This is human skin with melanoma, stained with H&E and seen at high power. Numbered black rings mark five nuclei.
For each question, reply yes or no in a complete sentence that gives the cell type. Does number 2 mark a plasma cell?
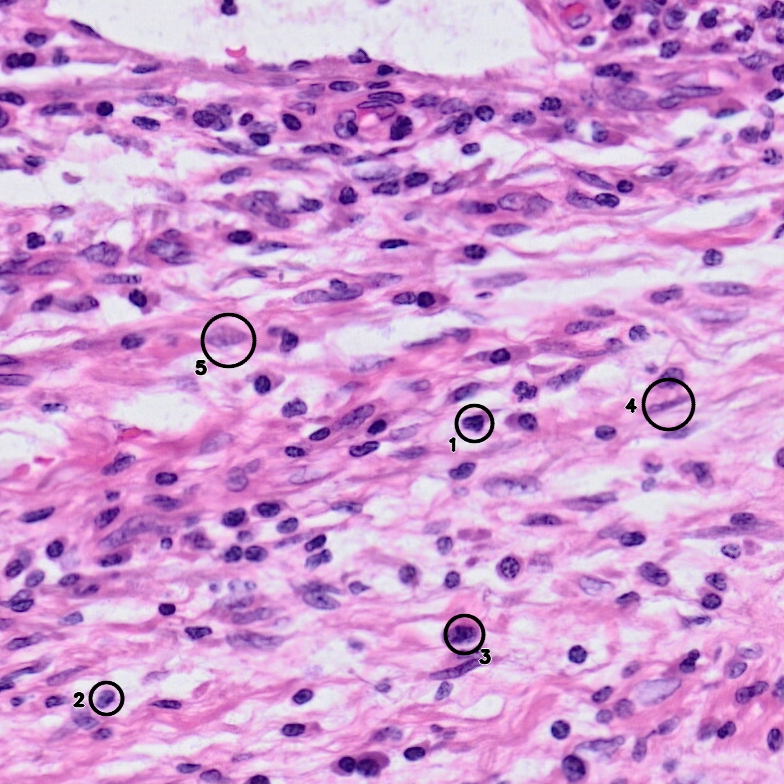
No, cell 2 is to be classed as a lymphocyte, not a plasma cell.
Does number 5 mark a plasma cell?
No. Cell number 5 is a fibroblast or myofibroblast, not a plasma cell.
